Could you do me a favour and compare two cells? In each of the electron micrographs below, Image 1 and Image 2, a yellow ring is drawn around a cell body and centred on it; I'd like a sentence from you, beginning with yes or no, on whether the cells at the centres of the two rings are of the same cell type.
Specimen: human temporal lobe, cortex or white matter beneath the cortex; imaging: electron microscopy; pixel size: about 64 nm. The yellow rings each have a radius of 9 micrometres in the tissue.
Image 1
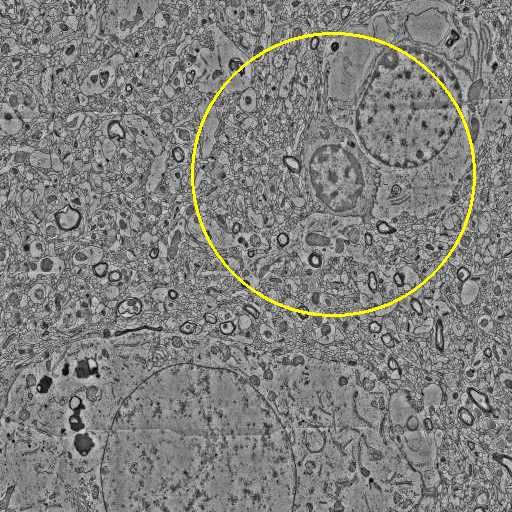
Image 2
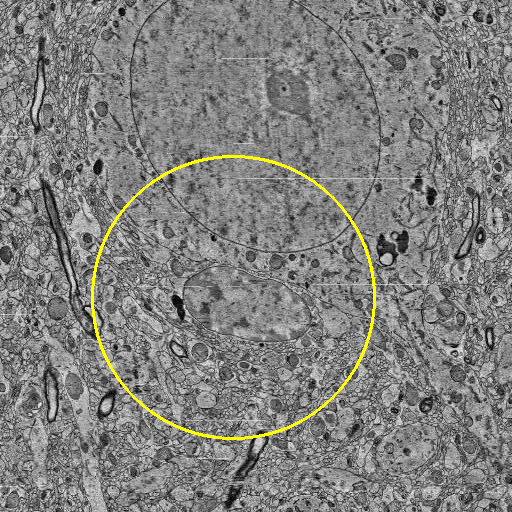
No, the two cells are of two cell types.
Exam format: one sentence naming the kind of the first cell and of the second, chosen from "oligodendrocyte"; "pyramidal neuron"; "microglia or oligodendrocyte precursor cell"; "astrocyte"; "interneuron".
The first picture's cell is an oligodendrocyte, and the second picture's cell is a microglial cell or oligodendrocyte precursor cell.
